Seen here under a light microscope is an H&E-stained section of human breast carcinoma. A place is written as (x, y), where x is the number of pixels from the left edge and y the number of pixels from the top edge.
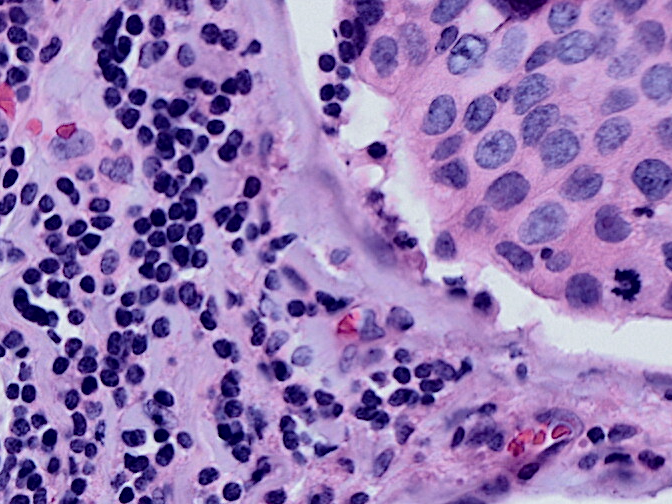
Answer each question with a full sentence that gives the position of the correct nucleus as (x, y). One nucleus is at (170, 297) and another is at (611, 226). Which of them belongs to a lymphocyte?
The nucleus at (170, 297) is the member of the pair belonging to a lymphocyte.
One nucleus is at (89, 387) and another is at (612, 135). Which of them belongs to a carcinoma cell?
Out of the two, it is the nucleus at (612, 135) that belongs to a carcinoma cell.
